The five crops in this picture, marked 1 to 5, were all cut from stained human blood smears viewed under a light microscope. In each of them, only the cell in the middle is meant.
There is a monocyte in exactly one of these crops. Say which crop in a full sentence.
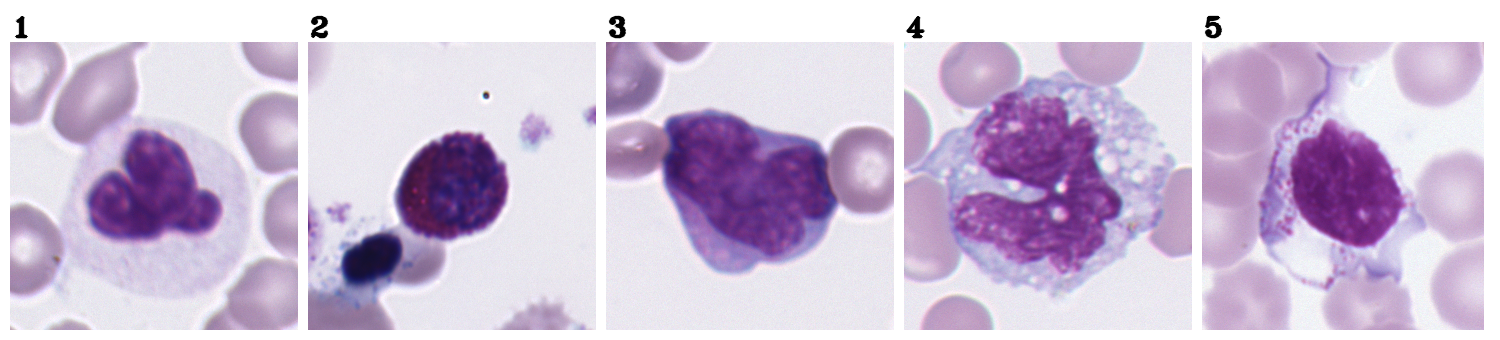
Crop 4 alone, of all the crops, shows a monocyte.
